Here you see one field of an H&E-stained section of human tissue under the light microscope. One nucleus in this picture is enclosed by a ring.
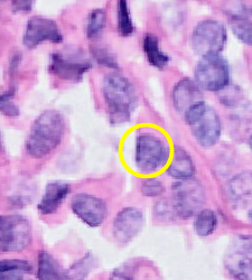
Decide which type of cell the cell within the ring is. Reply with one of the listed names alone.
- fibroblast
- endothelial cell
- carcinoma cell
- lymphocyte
carcinoma cell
